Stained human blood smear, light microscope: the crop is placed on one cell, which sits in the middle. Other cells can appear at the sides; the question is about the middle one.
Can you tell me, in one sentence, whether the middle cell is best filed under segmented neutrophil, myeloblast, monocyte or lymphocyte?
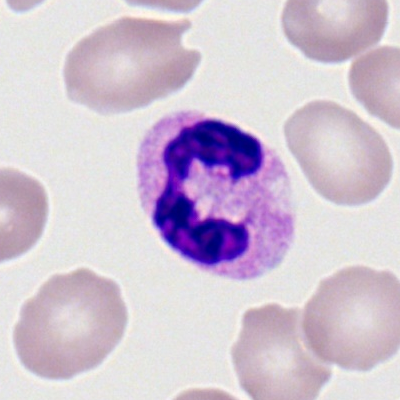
Centrally within this crop lies a segmented neutrophil.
